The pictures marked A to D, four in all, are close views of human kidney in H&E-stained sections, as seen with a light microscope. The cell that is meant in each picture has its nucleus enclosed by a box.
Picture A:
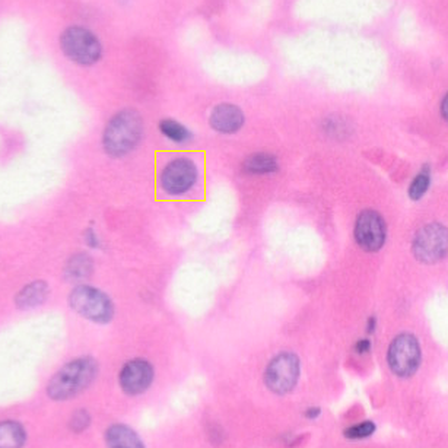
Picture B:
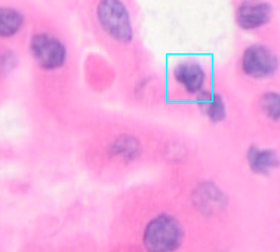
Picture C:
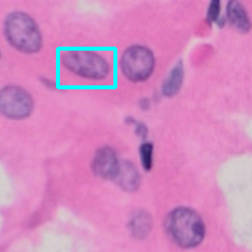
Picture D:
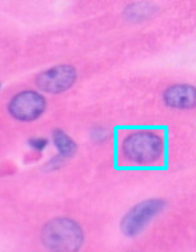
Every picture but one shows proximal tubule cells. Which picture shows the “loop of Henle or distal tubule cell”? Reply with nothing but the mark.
B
